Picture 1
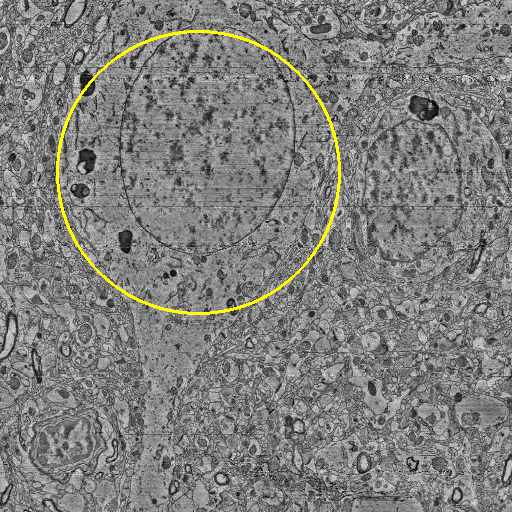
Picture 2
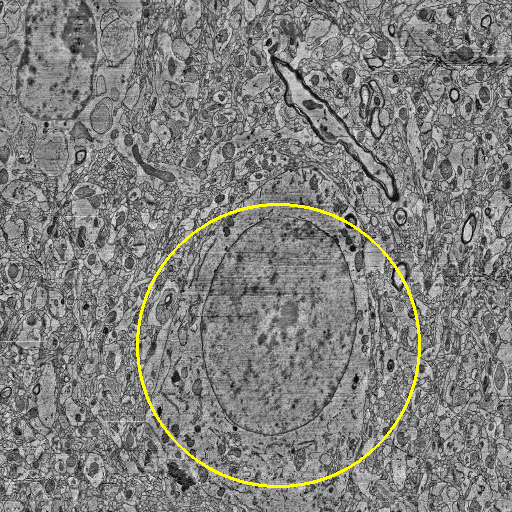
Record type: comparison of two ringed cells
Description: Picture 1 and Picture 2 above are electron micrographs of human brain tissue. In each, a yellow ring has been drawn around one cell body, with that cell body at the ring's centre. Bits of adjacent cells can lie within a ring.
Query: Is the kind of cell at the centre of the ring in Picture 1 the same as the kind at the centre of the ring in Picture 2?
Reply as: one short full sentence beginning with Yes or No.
Yes, the two ringed cells are of the same kind.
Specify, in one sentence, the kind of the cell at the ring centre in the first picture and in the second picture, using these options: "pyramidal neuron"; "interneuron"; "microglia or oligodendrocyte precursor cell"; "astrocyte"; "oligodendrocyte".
Each of the two rings surrounds a pyramidal neuron.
